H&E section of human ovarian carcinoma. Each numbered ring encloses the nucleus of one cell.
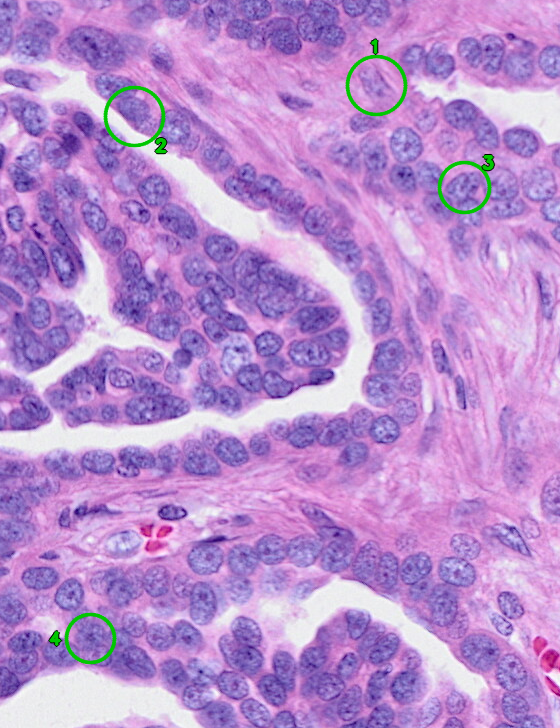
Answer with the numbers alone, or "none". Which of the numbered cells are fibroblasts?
1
